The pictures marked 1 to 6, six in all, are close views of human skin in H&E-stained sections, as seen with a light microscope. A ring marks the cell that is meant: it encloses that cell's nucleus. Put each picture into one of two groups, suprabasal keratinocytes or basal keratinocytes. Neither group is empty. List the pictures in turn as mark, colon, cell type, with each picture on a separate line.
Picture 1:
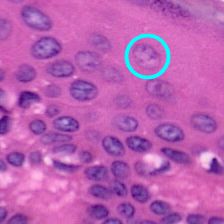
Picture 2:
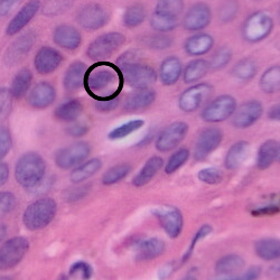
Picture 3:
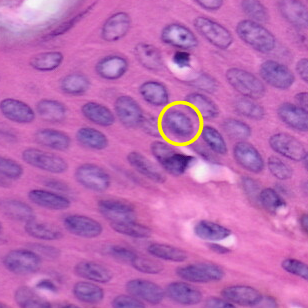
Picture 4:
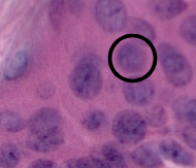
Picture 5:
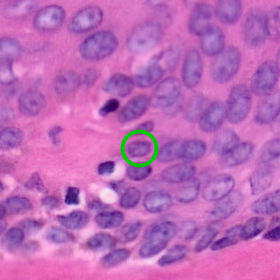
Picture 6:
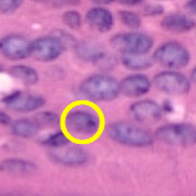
1: suprabasal keratinocyte
2: basal keratinocyte
3: suprabasal keratinocyte
4: suprabasal keratinocyte
5: basal keratinocyte
6: suprabasal keratinocyte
